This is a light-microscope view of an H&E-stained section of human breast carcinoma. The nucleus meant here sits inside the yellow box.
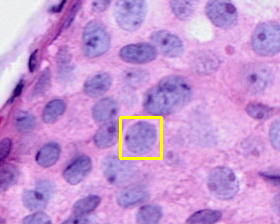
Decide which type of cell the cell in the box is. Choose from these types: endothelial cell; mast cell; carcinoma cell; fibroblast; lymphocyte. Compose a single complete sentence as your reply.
In this section, the cell in the box is a carcinoma cell.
